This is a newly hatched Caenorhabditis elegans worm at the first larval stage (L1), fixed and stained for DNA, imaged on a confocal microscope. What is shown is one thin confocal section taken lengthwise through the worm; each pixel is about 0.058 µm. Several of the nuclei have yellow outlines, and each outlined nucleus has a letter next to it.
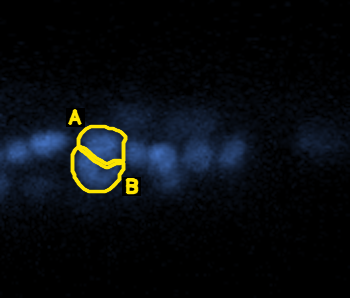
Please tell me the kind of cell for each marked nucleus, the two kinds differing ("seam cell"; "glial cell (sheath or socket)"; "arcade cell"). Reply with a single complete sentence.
A belongs to a glial cell (sheath or socket) and B to a seam cell.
